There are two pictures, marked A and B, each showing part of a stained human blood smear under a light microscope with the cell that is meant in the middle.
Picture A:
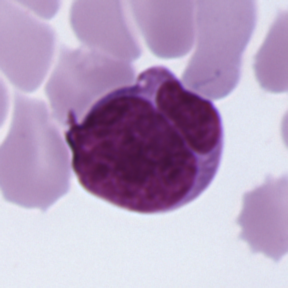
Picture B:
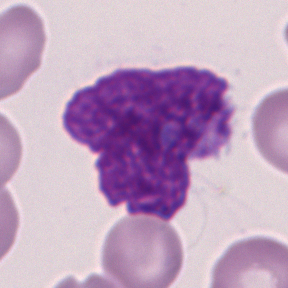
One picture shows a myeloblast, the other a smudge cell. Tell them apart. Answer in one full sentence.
The cell in picture A is a myeloblast, and the one in picture B is a smudge cell.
